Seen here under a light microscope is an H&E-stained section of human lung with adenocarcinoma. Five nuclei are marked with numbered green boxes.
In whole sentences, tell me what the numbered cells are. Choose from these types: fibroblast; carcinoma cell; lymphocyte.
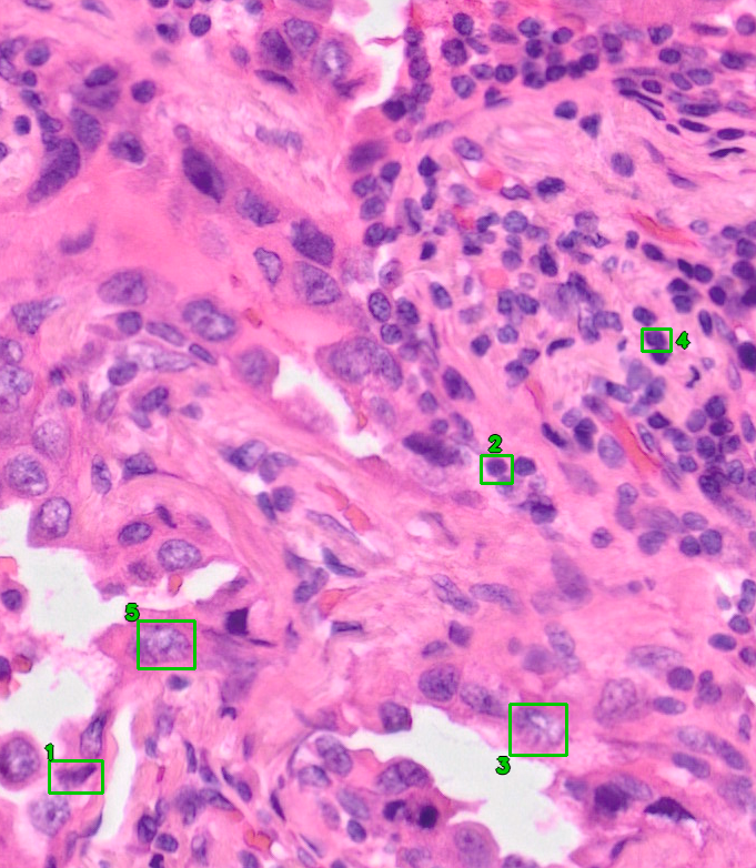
Cells 1, 3 and 5 are carcinoma cells. Cells 2 and 4 are lymphocytes.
